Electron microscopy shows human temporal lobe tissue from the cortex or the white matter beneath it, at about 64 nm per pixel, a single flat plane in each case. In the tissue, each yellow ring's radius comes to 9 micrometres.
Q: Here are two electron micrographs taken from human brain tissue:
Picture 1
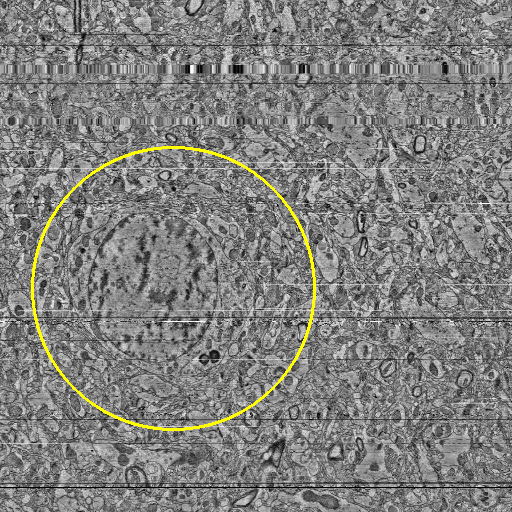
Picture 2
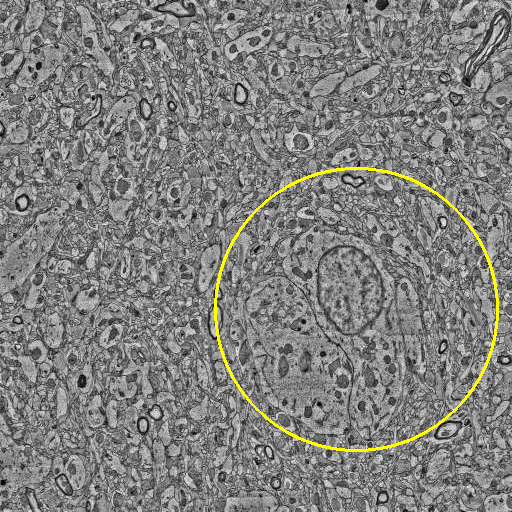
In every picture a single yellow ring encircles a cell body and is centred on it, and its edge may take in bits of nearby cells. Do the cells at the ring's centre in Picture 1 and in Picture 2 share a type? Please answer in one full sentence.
Yes, the cells at the ring's centre in Picture 1 and Picture 2 share a type.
